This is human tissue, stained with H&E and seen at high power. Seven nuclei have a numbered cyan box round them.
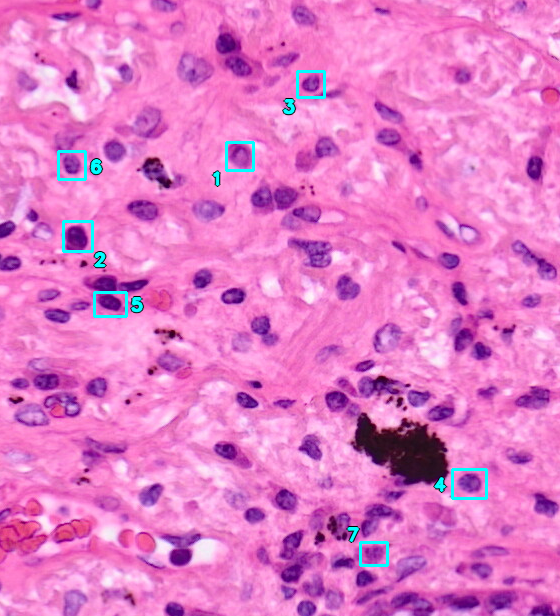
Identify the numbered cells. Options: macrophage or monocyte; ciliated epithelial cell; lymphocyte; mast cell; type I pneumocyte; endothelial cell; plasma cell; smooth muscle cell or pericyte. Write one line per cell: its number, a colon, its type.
1: plasma cell
2: plasma cell
3: mast cell
4: mast cell
5: plasma cell
6: lymphocyte
7: plasma cell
